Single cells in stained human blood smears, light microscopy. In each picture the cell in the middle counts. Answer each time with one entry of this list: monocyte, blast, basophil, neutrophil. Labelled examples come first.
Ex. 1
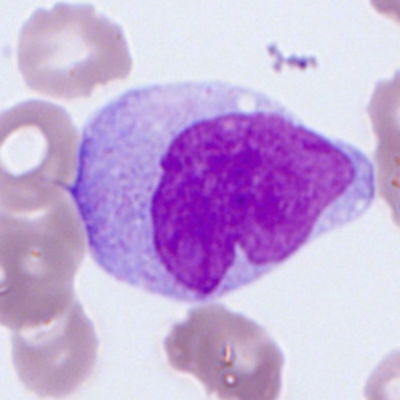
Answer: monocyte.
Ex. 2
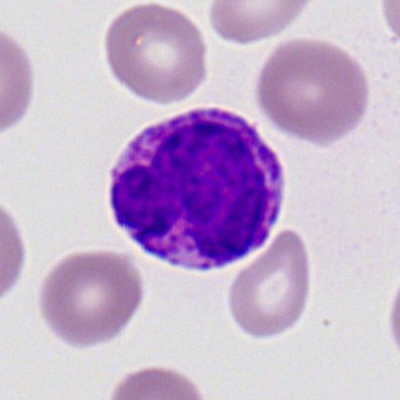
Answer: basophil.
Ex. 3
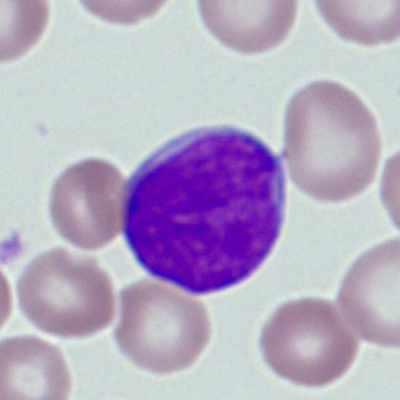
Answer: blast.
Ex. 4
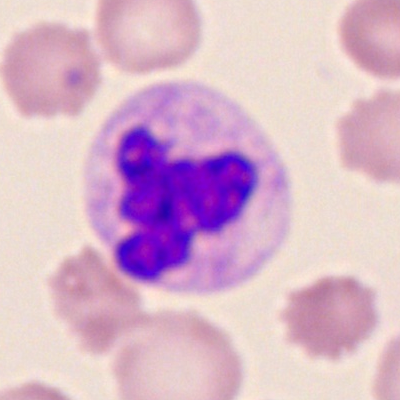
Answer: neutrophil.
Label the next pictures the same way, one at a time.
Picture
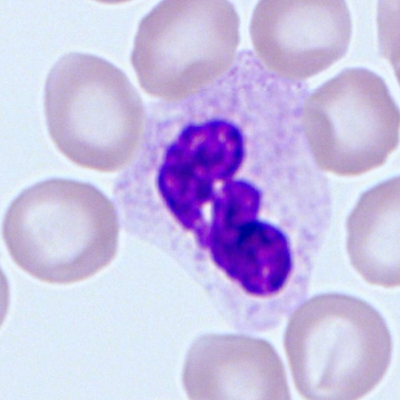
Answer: neutrophil.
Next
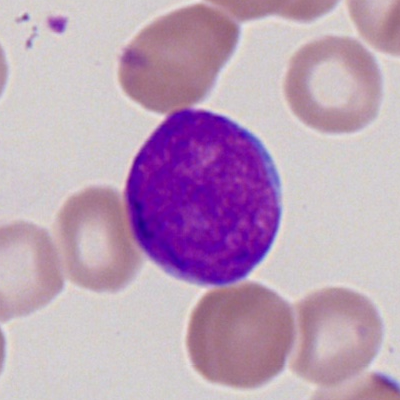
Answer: blast.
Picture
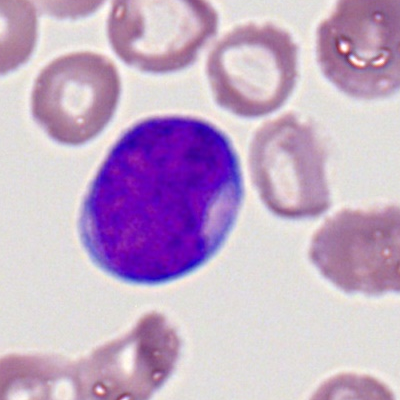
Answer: blast.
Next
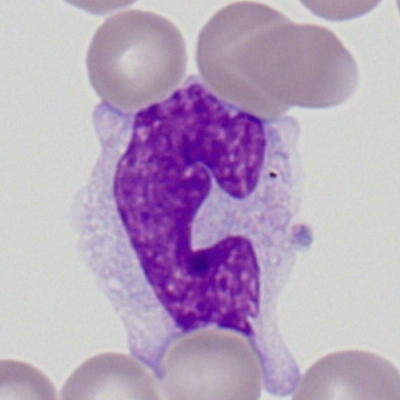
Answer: monocyte.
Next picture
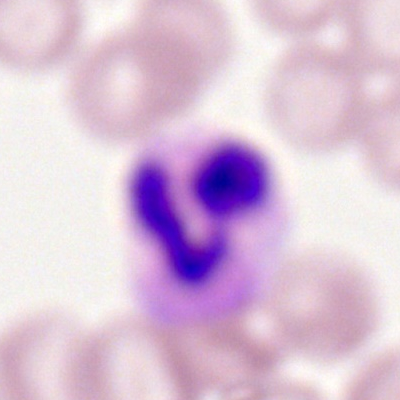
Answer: neutrophil.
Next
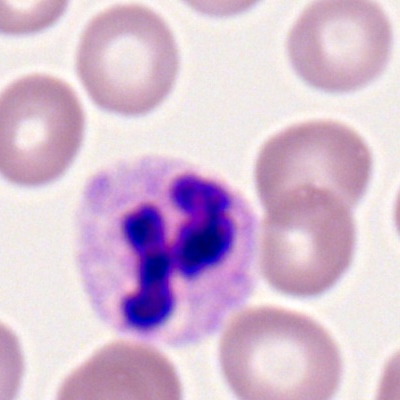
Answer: neutrophil.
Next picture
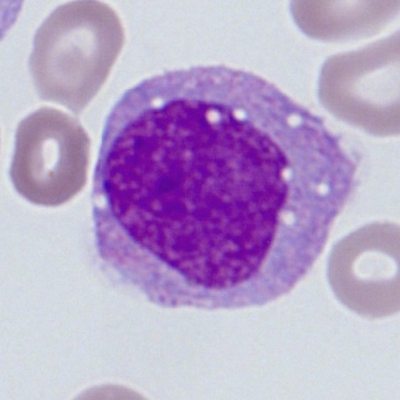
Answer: blast.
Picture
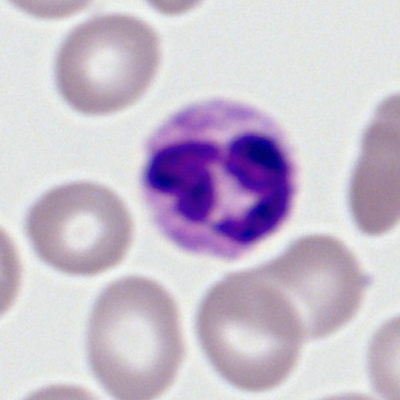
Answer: neutrophil.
